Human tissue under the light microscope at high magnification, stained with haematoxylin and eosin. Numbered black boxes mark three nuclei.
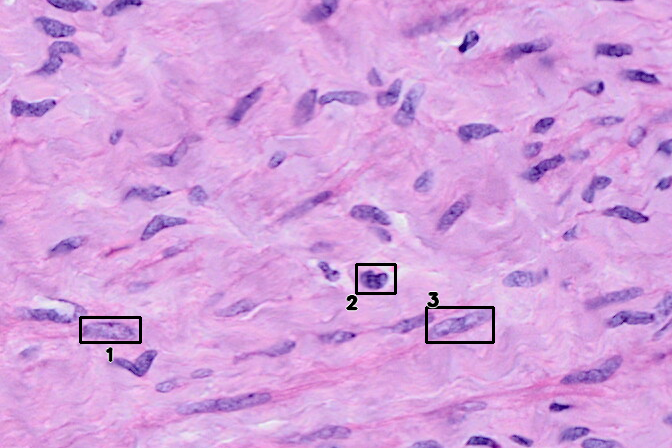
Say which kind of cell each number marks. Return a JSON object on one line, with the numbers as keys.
{"1": "smooth muscle cell", "2": "lymphocyte", "3": "smooth muscle cell"}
